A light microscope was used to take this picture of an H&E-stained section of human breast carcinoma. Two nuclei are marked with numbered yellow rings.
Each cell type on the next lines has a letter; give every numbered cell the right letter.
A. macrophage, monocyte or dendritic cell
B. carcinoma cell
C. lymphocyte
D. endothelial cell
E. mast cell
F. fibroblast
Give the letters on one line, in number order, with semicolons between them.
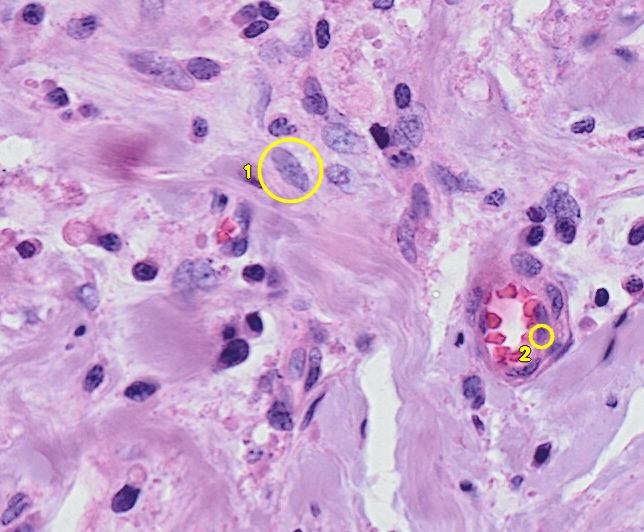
F; D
